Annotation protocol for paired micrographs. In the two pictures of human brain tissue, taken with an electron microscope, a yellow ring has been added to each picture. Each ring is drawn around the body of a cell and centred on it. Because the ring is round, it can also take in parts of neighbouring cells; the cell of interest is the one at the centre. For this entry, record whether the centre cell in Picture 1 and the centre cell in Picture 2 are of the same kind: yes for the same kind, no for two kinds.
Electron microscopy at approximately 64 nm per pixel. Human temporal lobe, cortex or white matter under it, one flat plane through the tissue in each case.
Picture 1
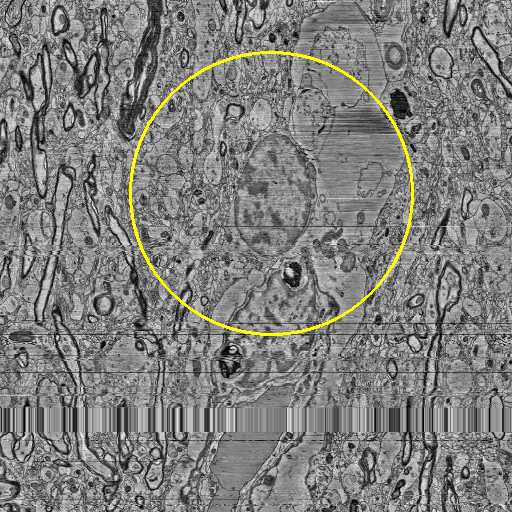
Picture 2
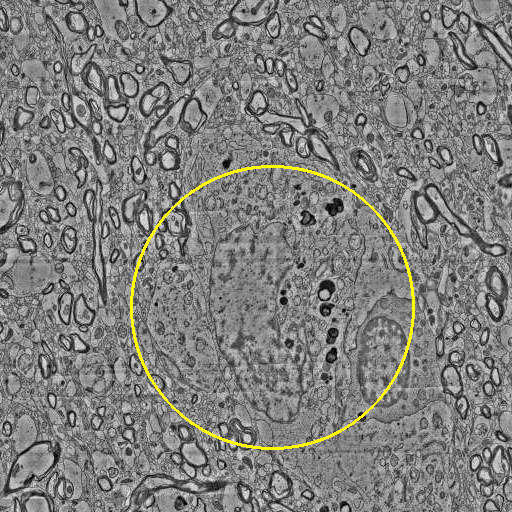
no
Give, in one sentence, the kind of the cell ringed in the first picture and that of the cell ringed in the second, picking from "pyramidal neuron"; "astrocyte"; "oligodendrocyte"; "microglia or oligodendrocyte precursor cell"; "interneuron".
For the first picture it is an oligodendrocyte; for the second, an interneuron.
